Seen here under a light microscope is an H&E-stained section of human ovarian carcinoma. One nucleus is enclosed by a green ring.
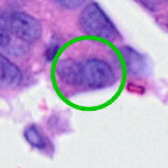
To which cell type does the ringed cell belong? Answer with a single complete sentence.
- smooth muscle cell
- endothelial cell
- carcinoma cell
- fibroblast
This is a carcinoma cell.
